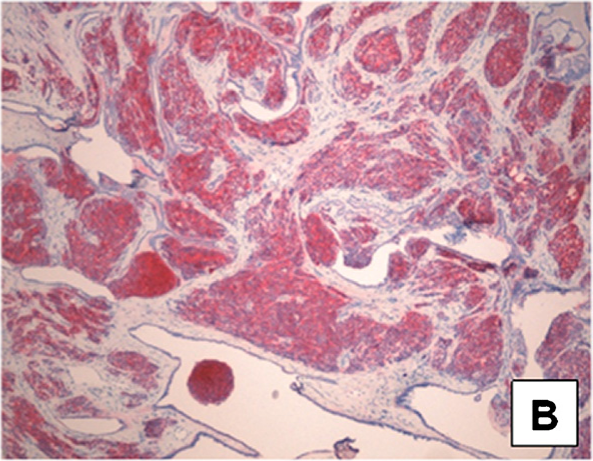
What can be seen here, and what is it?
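Rounded nests and cords of closely packed cells are stained red throughout, lying in a pale blue, loose stroma. The nests vary in size and are separated by thin fibrous septa and open clefts. Within the nests the cells are too small at this magnification to resolve individually, giving a dense, finely textured red appearance.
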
